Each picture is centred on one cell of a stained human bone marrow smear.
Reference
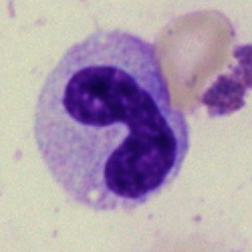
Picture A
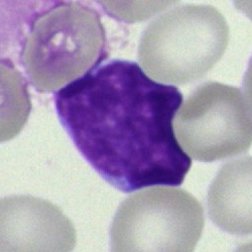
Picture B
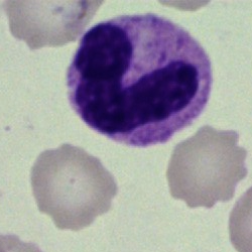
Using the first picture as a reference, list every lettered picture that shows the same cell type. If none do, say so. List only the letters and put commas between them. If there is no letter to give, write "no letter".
B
